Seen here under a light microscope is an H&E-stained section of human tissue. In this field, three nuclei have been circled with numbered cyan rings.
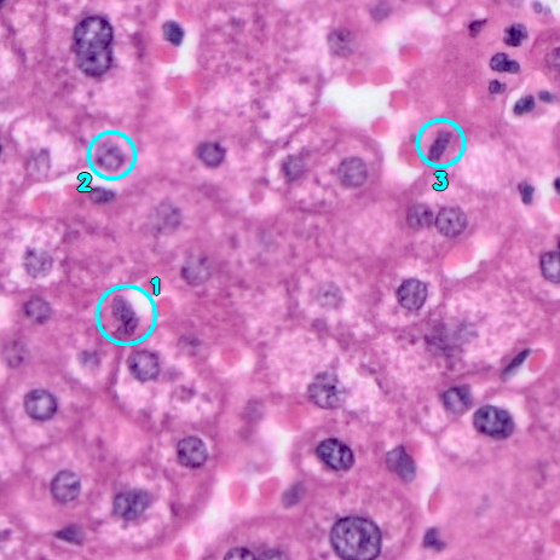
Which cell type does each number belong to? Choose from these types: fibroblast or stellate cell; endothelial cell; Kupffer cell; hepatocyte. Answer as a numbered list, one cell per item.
1. endothelial cell
2. hepatocyte
3. fibroblast or stellate cell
